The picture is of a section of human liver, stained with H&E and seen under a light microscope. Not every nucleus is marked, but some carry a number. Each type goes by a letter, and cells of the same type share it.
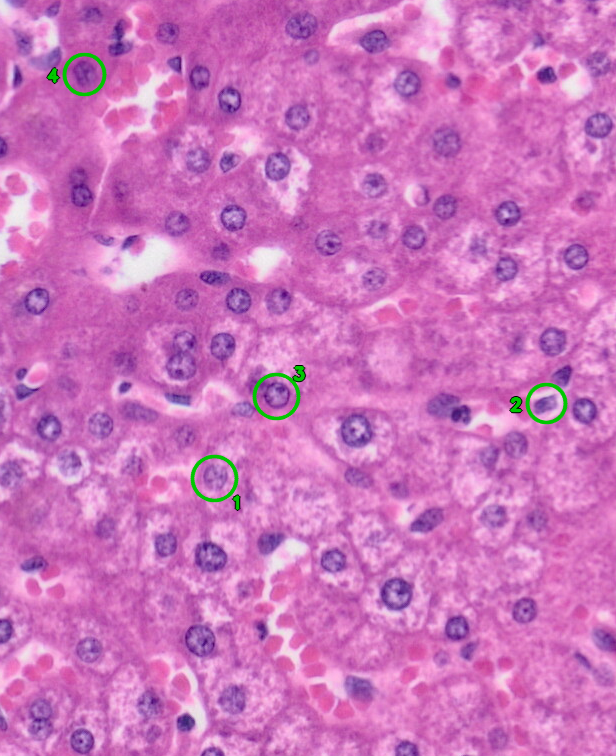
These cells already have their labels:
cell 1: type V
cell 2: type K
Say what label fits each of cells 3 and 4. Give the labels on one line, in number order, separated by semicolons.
type V; type V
